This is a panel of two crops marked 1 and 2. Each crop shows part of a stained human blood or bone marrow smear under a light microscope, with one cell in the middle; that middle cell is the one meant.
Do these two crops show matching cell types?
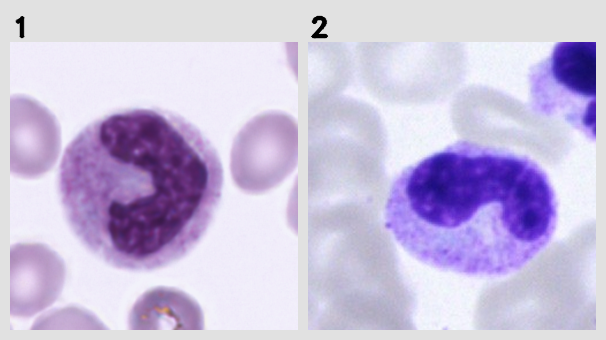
yes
